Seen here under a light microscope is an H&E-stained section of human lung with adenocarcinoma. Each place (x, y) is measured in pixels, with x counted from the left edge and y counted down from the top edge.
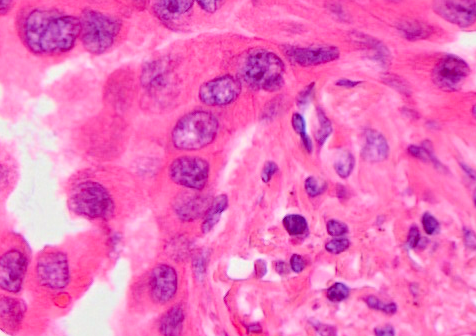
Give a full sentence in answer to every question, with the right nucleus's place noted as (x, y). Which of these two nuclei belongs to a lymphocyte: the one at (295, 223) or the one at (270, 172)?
Rather than the other nucleus, the one at (270, 172) belongs to a lymphocyte.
